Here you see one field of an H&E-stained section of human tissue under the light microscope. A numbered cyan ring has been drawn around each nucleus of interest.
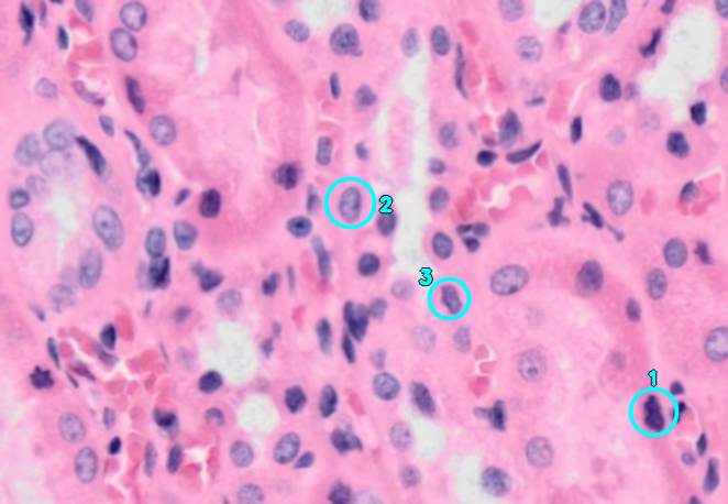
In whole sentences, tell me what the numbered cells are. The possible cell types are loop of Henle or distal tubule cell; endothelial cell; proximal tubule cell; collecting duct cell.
Cell 1 is a proximal tubule cell, cell 2 is a loop of Henle or distal tubule cell and cell 3 is a loop of Henle or distal tubule cell.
